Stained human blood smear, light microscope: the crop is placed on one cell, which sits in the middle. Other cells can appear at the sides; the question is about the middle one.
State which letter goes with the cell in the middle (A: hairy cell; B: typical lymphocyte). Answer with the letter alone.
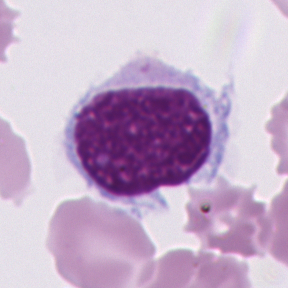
A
